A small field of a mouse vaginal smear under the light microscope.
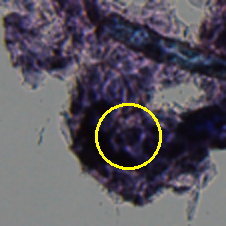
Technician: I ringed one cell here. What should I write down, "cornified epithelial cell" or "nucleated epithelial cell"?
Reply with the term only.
nucleated epithelial cell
